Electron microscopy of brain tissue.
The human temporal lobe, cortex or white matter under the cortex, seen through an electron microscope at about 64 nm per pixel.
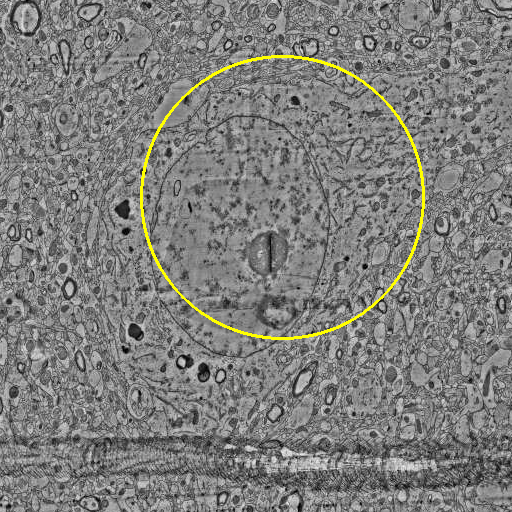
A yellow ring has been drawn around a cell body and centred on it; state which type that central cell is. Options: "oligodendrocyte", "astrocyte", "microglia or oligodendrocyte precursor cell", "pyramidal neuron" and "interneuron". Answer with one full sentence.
The cell at the middle of the yellow ring is a pyramidal neuron in this picture.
